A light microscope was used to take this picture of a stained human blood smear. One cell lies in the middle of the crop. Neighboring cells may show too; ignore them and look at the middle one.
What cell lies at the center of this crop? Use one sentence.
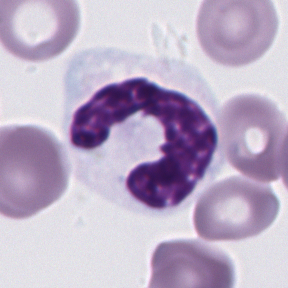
The cell the crop is centered on is a band neutrophil.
